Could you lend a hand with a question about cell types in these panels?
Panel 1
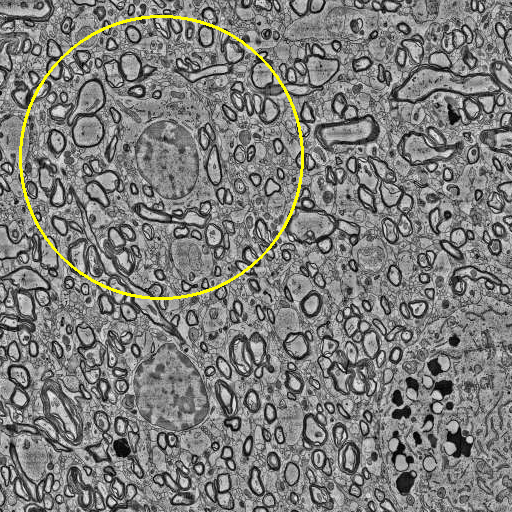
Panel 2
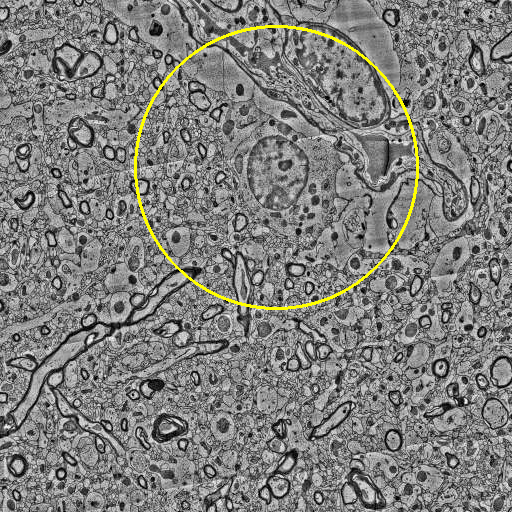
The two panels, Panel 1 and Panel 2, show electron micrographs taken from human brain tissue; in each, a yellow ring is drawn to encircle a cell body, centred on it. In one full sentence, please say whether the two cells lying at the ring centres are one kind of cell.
No, the cells at the ring centres in the two panels are two kinds of cell.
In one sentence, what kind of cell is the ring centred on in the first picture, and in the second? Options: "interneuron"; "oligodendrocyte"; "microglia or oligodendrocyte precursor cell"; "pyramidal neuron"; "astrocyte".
The cell at the centre of the second ring is an oligodendrocyte; the first ring's cell is a microglial cell or oligodendrocyte precursor cell.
